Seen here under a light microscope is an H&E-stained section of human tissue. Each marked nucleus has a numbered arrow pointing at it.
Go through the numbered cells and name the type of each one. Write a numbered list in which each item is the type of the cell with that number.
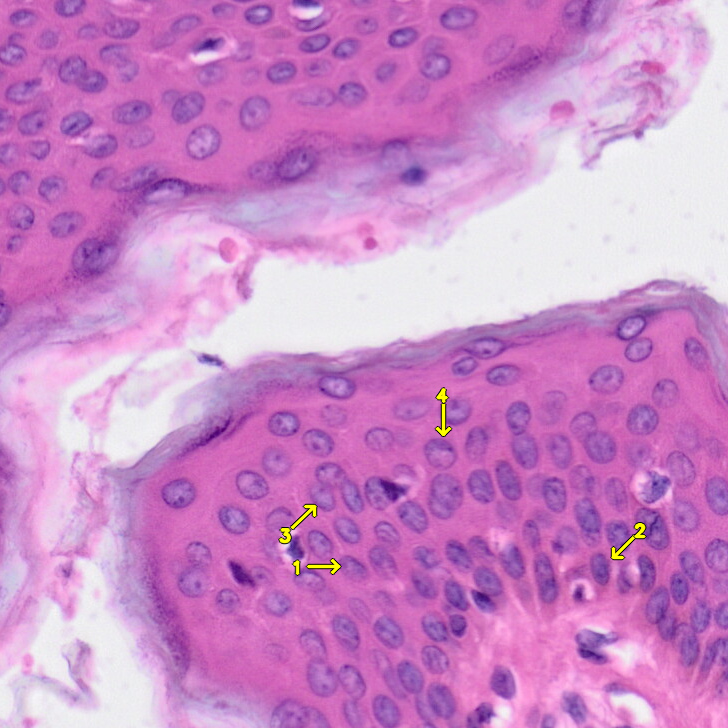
1. suprabasal keratinocyte
2. basal keratinocyte
3. suprabasal keratinocyte
4. suprabasal keratinocyte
